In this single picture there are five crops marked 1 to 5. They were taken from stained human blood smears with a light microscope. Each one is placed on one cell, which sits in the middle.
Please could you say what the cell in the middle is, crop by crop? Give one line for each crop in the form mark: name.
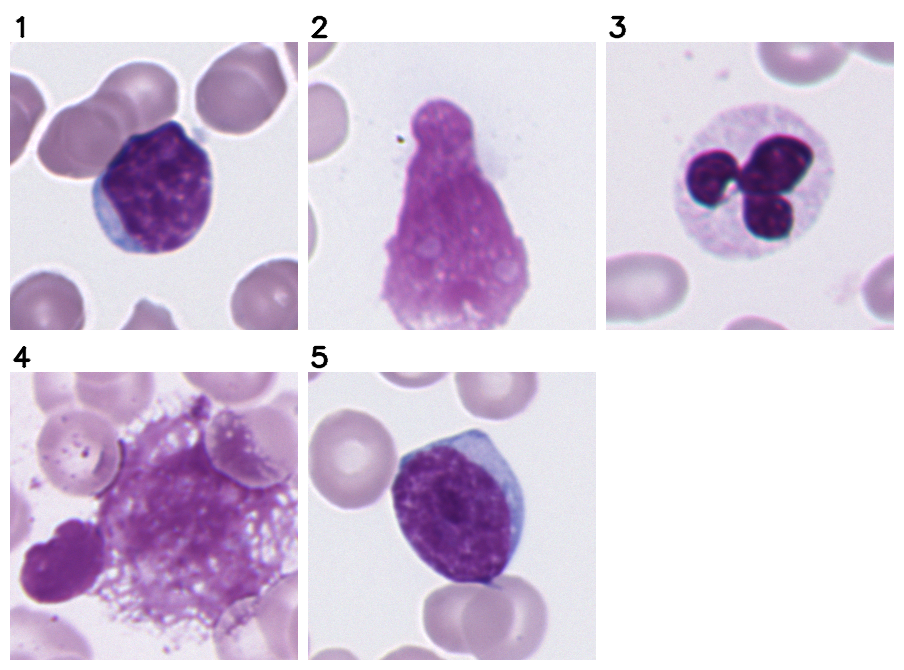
1: typical lymphocyte
2: smudge cell
3: neutrophil
4: smudge cell
5: myeloblast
